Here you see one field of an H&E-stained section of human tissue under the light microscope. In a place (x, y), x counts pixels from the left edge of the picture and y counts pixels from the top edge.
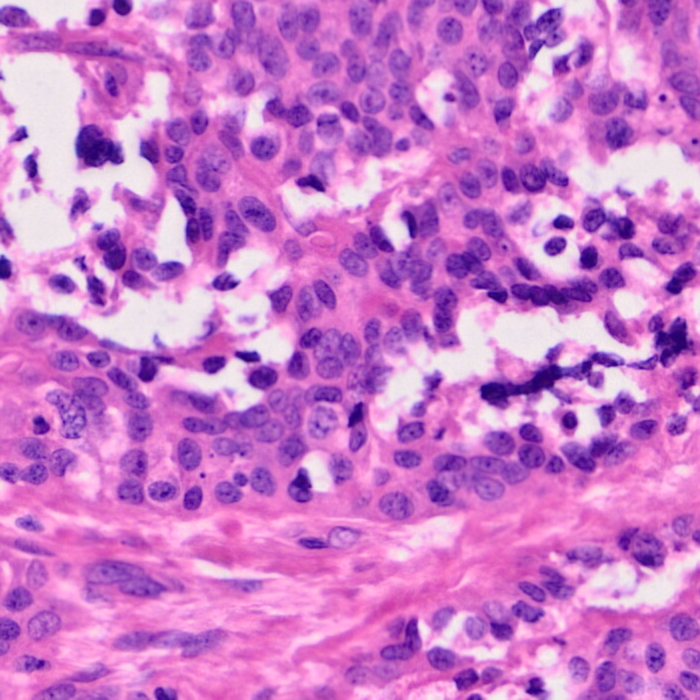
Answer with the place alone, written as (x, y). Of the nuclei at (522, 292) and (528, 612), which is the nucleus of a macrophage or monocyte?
(528, 612)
